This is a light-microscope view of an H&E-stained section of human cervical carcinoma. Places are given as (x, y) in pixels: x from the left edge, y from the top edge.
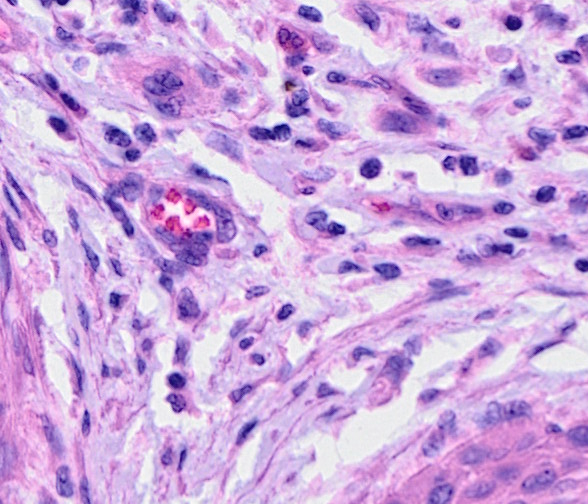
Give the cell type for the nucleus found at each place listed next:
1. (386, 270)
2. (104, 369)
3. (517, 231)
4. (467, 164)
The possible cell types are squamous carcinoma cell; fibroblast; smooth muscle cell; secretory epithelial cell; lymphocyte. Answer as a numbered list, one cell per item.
1. lymphocyte
2. fibroblast
3. lymphocyte
4. lymphocyte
